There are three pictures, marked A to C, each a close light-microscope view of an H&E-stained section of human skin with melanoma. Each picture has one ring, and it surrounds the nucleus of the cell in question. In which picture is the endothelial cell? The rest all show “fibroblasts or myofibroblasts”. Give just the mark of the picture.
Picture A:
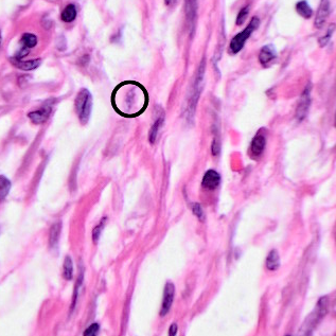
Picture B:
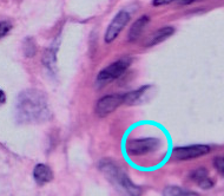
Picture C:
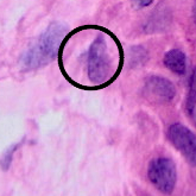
B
